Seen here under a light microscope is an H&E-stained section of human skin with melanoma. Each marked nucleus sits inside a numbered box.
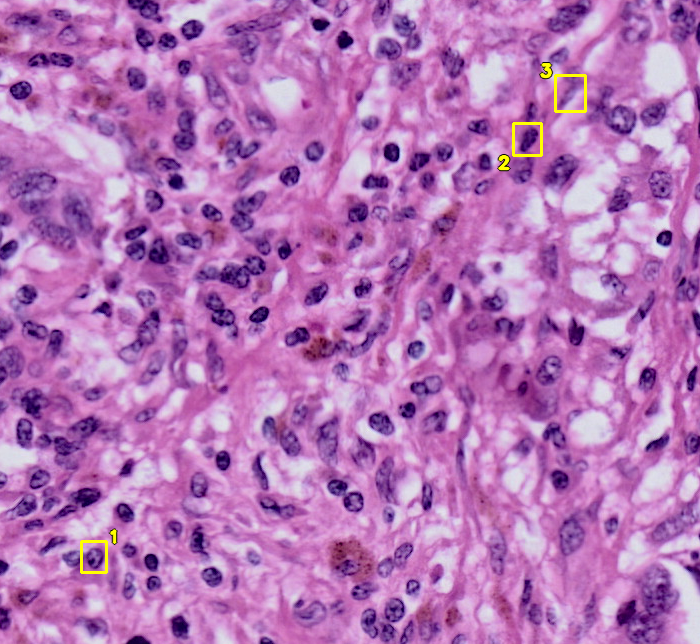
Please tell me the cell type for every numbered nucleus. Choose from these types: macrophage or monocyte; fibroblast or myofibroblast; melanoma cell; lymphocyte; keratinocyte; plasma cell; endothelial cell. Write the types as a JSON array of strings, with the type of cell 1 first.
["plasma cell", "lymphocyte", "fibroblast or myofibroblast"]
